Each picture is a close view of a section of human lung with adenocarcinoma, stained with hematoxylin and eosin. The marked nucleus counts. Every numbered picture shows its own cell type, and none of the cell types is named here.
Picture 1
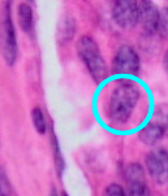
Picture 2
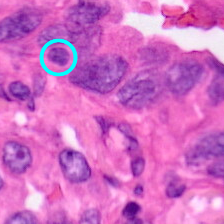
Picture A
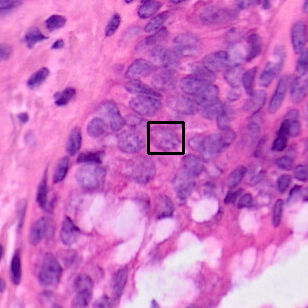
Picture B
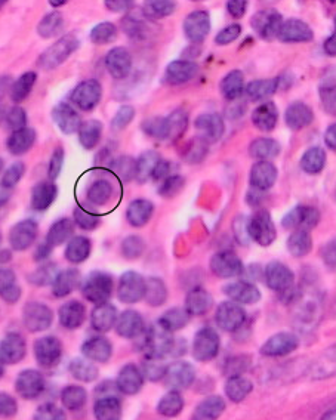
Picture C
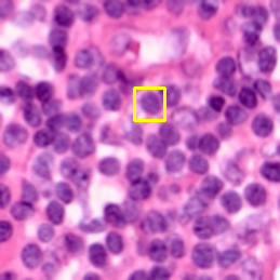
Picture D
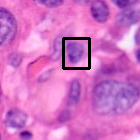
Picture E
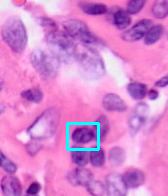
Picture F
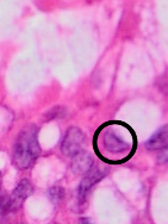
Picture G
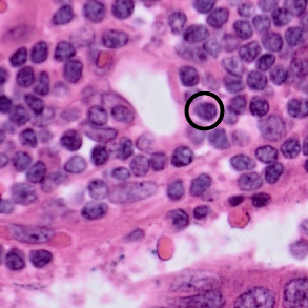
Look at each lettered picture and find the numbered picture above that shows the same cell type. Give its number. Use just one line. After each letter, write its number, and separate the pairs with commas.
A 1, B 2, C 2, D 2, E 2, F 1, G 2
